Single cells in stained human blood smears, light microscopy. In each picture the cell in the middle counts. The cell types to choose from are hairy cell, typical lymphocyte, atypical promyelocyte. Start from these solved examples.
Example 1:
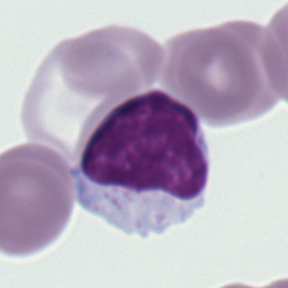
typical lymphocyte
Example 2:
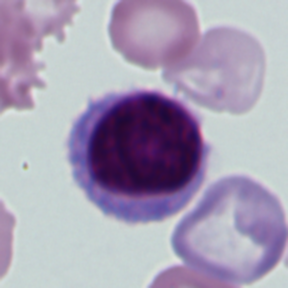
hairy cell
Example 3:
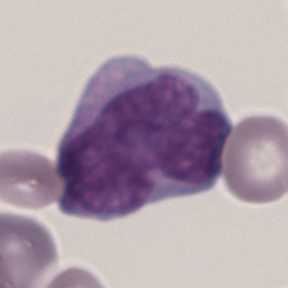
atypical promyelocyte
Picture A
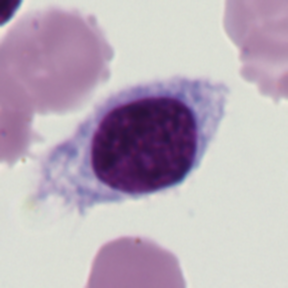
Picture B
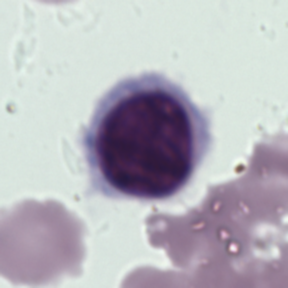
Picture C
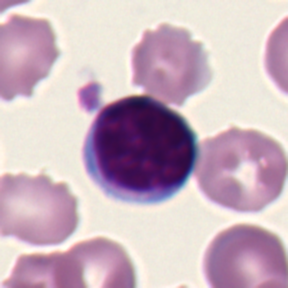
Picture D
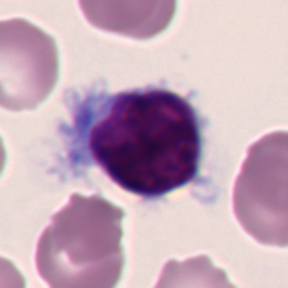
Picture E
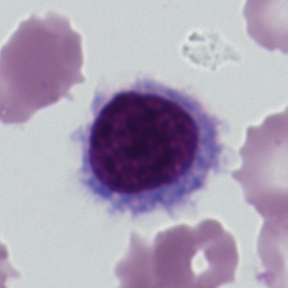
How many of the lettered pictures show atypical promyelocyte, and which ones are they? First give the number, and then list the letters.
0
